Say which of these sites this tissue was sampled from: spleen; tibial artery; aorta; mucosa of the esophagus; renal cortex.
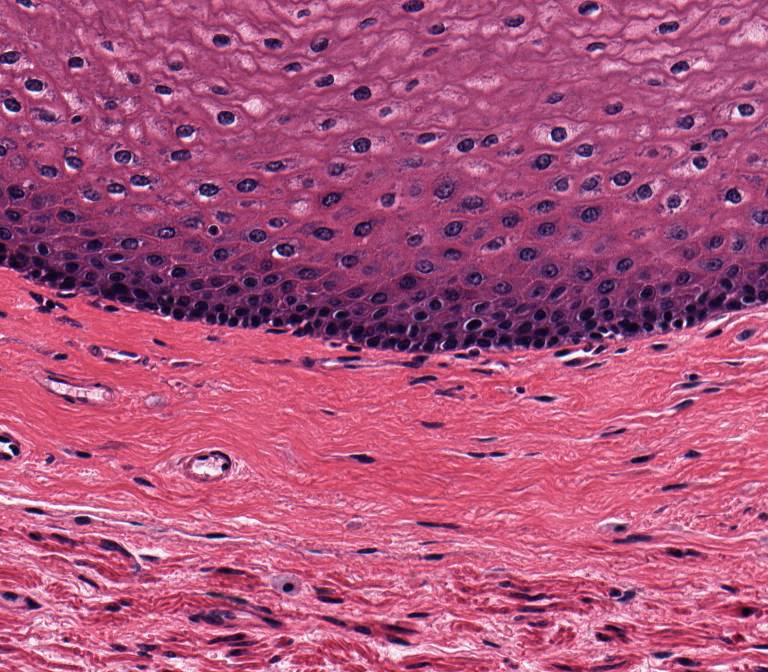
mucosa of the esophagus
